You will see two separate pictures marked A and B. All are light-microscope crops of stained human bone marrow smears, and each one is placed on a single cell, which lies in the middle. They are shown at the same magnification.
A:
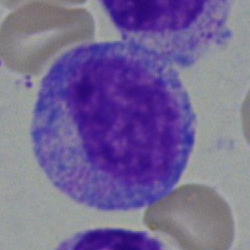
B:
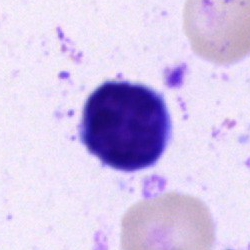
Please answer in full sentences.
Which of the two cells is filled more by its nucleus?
It is the cell in picture B that is filled more by its nucleus.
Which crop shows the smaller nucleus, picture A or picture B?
The nucleus in picture B is smaller; the one in picture A has about 2 times its area.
